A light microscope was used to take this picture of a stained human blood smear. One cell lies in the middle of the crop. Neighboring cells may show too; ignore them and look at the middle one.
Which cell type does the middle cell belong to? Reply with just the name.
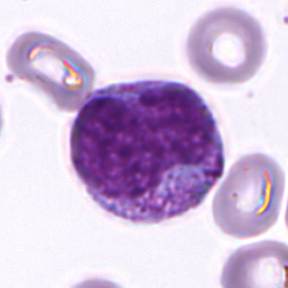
myelocyte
